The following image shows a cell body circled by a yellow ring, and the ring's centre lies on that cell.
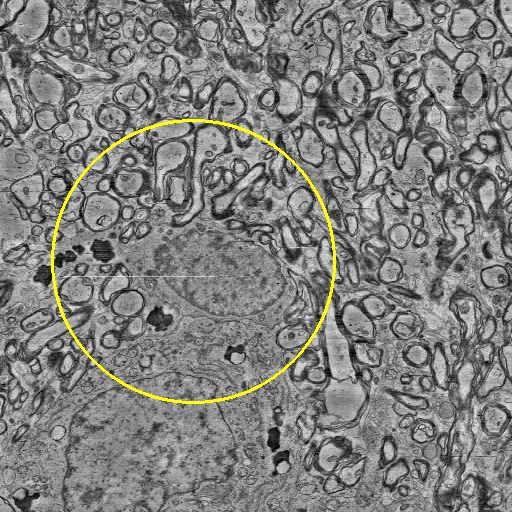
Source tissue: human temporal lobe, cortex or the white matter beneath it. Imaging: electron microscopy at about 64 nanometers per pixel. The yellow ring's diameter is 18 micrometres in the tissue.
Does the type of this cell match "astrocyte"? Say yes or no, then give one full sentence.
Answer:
No, the cell at the ring's centre in this picture has a different type.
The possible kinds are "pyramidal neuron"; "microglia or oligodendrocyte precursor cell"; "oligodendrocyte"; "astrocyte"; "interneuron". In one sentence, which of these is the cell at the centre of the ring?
The cell in the ring is an oligodendrocyte instead.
